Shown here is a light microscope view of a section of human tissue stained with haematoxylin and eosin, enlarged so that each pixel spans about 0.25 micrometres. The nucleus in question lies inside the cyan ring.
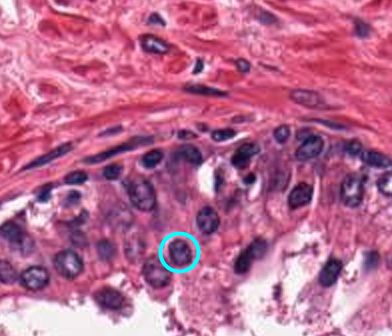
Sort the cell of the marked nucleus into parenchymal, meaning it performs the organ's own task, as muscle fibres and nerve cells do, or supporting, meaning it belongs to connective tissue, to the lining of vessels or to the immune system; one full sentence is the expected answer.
In the section shown, the marked nucleus belongs to a parenchymal cell, namely a prostate gland luminal cell.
